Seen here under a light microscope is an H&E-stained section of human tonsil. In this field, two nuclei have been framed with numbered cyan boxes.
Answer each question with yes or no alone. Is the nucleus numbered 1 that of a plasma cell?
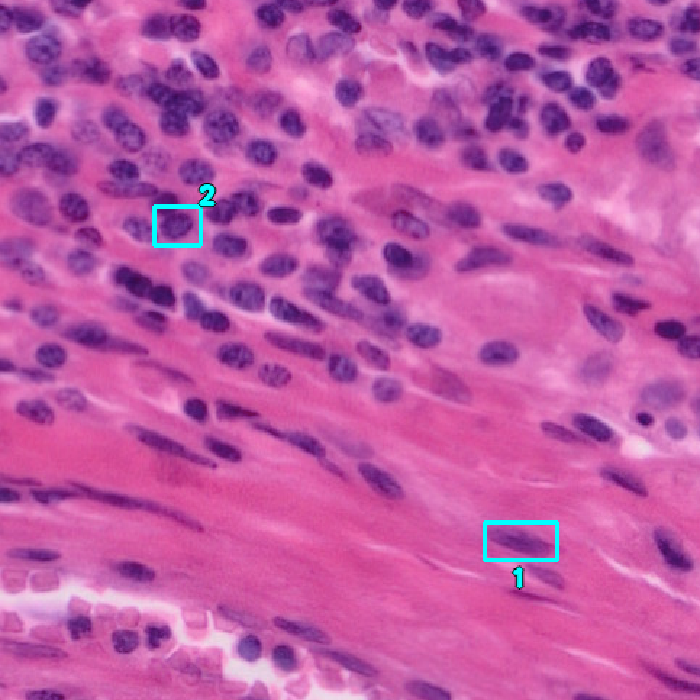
no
